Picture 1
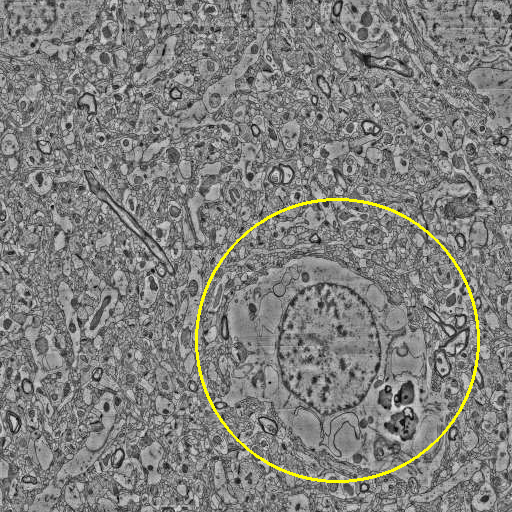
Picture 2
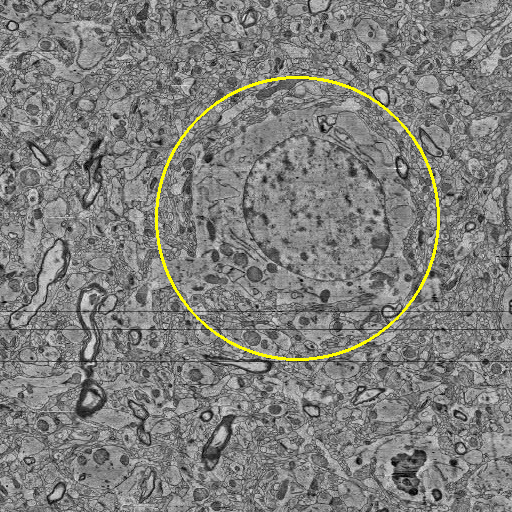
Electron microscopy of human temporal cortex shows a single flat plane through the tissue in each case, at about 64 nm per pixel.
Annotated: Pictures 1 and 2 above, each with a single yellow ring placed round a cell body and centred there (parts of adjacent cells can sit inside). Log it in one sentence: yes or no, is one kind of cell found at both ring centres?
Yes, the ring centres of the two pictures hold cells of one kind.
